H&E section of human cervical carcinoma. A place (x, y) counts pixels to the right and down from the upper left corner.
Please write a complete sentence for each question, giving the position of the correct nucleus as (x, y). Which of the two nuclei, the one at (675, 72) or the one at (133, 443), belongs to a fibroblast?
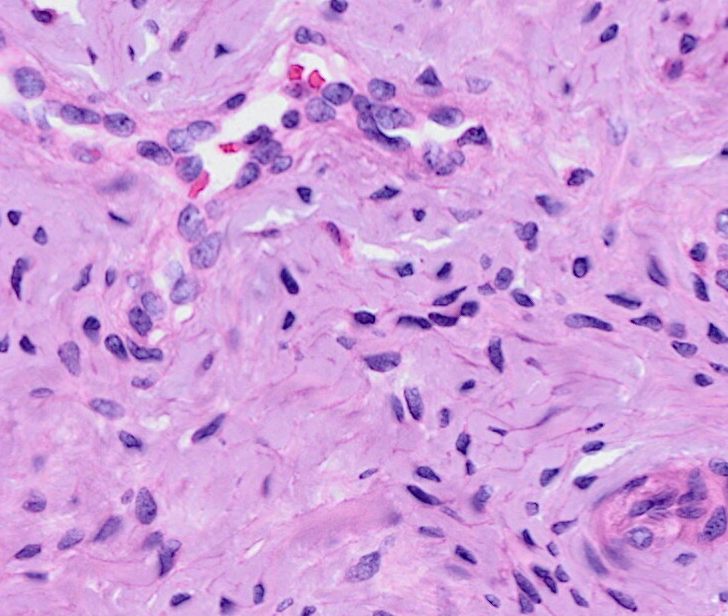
The nucleus at (133, 443) is the one that belongs to a fibroblast.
